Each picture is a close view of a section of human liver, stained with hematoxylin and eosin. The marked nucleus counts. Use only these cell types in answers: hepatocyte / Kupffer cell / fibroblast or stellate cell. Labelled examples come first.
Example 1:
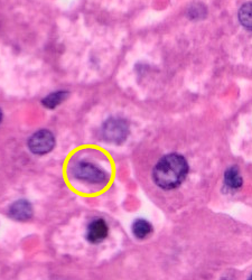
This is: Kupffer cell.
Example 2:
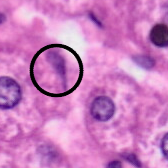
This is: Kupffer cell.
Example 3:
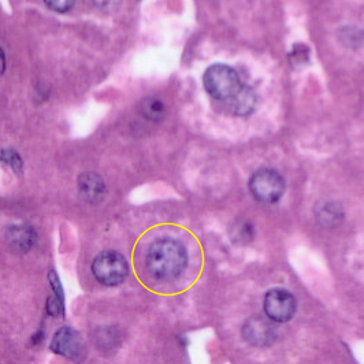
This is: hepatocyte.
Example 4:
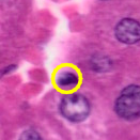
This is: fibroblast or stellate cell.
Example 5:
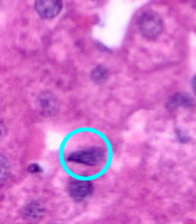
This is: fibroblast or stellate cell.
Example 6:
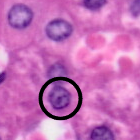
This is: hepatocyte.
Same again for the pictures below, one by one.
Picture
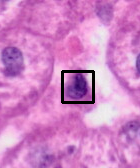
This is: Kupffer cell.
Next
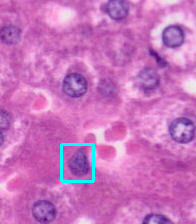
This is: fibroblast or stellate cell.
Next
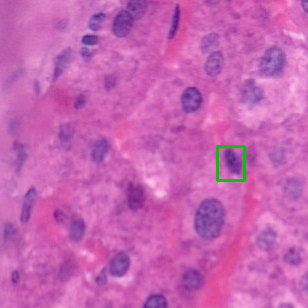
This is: fibroblast or stellate cell.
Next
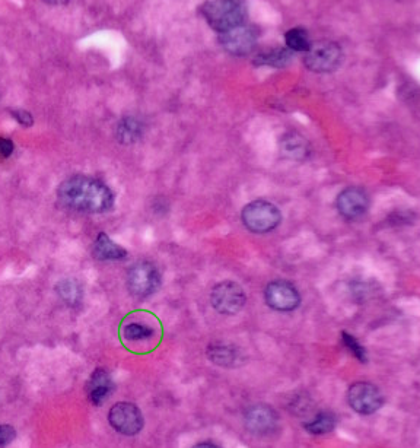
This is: fibroblast or stellate cell.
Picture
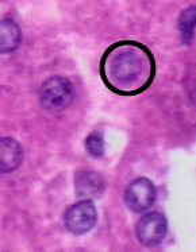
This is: hepatocyte.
